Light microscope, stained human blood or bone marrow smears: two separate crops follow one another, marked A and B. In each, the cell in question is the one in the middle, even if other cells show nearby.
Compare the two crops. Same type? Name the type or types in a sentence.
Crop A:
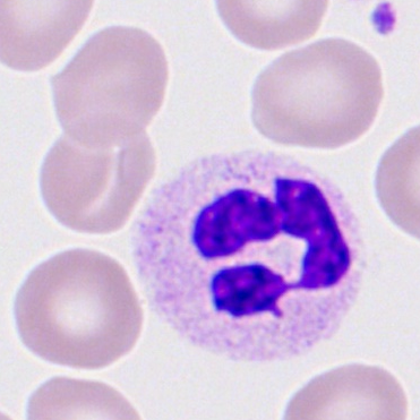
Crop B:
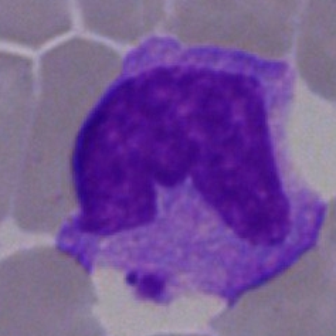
No, while a segmented neutrophil is found in crop A, a monocyte is found in crop B.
